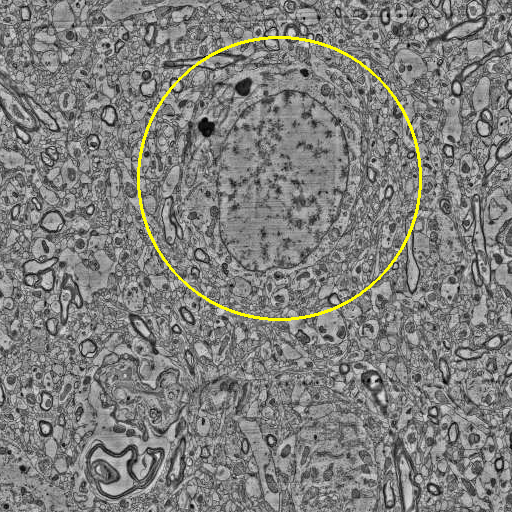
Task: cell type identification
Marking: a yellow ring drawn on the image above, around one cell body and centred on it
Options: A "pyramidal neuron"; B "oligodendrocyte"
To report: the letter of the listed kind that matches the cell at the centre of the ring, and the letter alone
A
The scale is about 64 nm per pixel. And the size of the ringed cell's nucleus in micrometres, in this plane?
About 12 micrometres by about 9 micrometres in this plane.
